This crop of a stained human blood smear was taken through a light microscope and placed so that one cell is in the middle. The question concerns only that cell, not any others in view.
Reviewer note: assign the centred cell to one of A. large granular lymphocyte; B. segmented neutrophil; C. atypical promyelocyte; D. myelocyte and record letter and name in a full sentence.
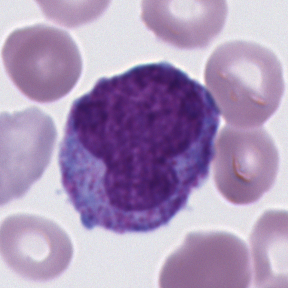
The middle of the crop contains an atypical promyelocyte, so option C is right.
